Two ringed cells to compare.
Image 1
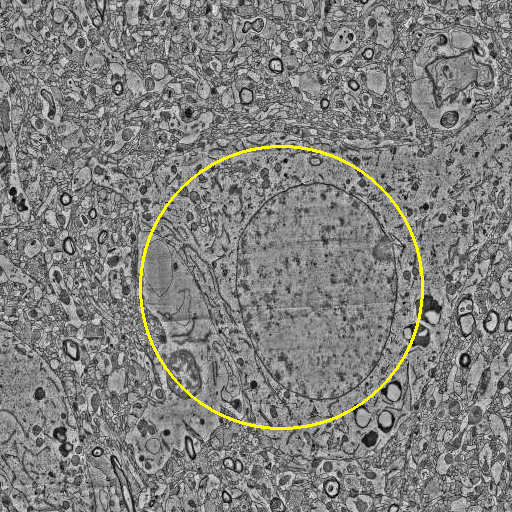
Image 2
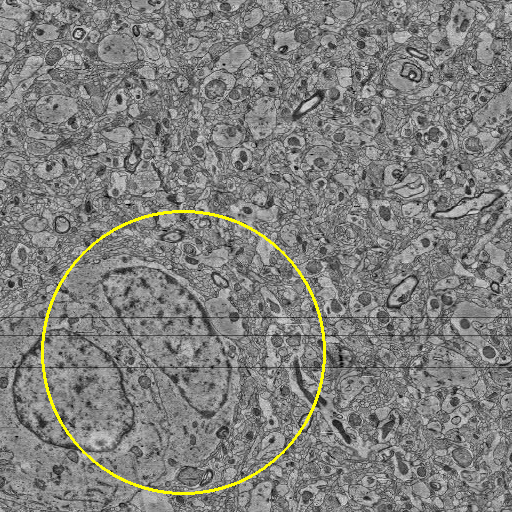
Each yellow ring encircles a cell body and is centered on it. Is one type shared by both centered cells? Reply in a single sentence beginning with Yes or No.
No, two types are found among the cells at the centers of the rings.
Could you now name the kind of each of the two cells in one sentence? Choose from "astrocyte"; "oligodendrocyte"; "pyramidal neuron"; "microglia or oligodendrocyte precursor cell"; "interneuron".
The first ring encloses a pyramidal neuron; the second ring encloses a microglial cell or oligodendrocyte precursor cell.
